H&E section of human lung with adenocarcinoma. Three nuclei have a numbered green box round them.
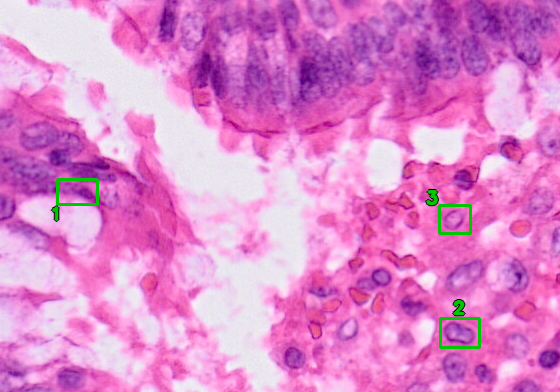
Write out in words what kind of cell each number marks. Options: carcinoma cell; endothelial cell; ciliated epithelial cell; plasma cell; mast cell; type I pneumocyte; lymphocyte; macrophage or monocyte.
Cell 1 is a ciliated epithelial cell, cell 2 is a macrophage or monocyte and cell 3 is a macrophage or monocyte.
